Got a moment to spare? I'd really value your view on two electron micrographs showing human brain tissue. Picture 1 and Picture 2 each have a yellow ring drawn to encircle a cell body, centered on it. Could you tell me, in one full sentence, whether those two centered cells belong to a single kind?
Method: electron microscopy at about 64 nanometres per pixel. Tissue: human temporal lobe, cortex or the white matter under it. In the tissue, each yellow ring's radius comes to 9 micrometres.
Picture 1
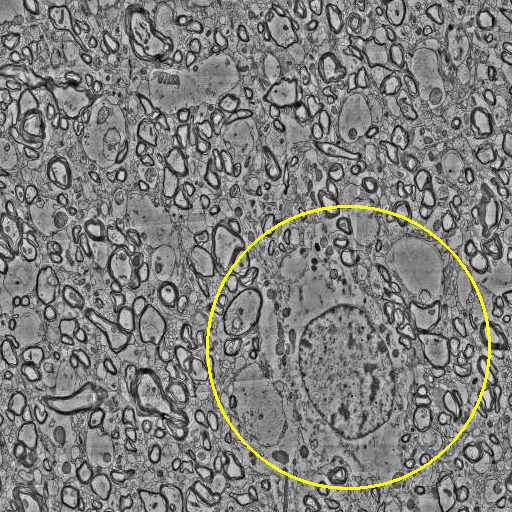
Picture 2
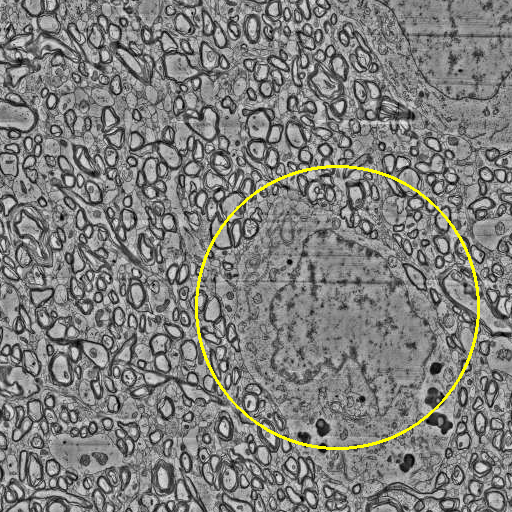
No, the two centered cells in Picture 1 and Picture 2 are of two kinds.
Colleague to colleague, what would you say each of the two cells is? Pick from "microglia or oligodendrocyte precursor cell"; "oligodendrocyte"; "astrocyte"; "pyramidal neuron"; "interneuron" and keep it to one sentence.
The cell in the first picture is an astrocyte; the second picture's cell is an interneuron.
